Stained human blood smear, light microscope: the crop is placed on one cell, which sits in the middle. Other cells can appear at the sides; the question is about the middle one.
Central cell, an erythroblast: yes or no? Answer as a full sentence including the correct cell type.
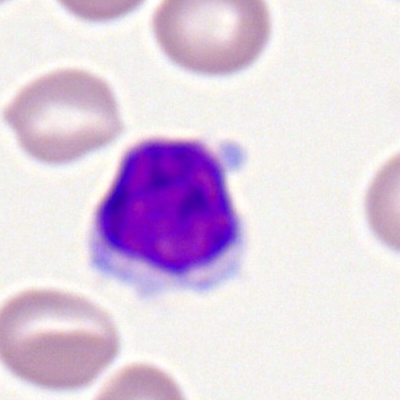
No, the label for the central cell is a lymphocyte, not an erythroblast.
